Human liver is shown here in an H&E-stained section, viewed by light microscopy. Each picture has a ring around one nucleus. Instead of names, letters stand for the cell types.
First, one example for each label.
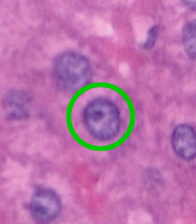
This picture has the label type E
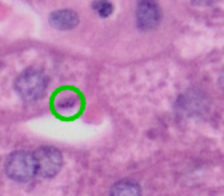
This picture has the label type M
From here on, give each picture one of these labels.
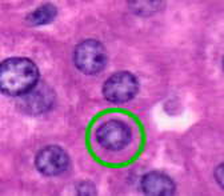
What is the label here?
type E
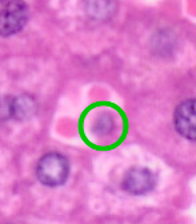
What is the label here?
type M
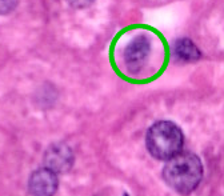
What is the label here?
type M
